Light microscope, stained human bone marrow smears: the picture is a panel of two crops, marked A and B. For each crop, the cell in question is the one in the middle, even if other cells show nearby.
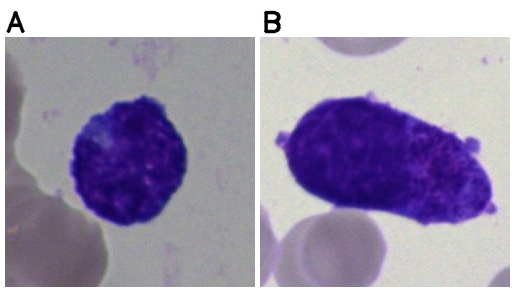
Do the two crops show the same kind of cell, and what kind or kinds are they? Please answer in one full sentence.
Yes, shown in both crops are blasts.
